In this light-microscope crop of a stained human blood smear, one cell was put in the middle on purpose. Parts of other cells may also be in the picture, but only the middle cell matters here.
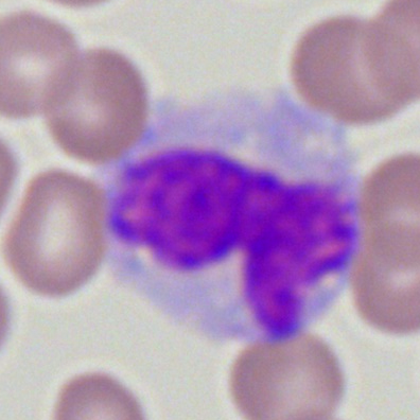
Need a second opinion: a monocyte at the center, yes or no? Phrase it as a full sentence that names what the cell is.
Yes, the cell in the middle is recognised as a monocyte.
